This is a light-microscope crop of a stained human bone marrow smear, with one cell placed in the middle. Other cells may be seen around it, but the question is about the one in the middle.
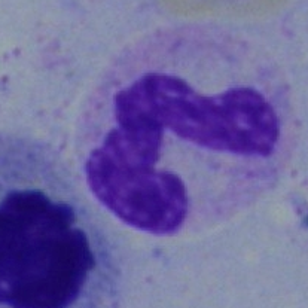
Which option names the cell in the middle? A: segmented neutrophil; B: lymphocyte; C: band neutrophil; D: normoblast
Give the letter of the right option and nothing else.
A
